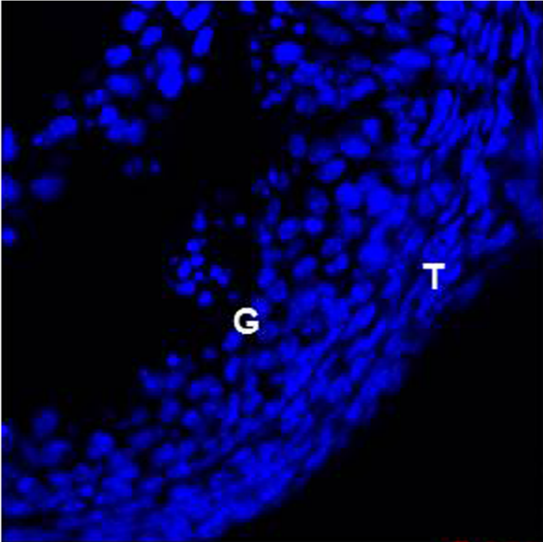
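This section shows part of the wall of an ovarian follicle, with an inner granulosa cell layer and an outer theca cell layer. The granulosa cells have rounded to oval nuclei that are densely packed in several rows and face an empty central space. Outside them, the theca cells have flattened, spindle-shaped nuclei lying parallel to one another in thin curving layers that follow the outline of the follicle. The boundary between the two layers is marked by the change from round to elongated nuclei.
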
